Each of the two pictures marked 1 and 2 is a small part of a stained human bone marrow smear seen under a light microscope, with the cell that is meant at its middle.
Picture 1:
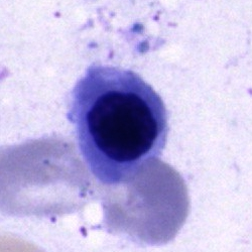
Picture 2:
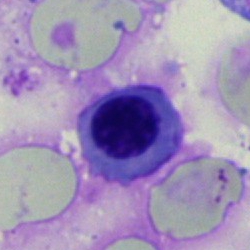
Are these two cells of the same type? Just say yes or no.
yes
